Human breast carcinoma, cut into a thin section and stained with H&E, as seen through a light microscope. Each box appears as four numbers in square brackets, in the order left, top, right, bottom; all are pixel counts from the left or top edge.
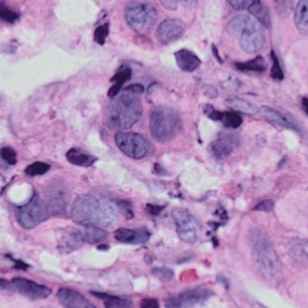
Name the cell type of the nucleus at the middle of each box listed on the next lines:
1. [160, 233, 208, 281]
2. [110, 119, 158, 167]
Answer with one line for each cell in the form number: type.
1: endothelial cell
2: carcinoma cell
